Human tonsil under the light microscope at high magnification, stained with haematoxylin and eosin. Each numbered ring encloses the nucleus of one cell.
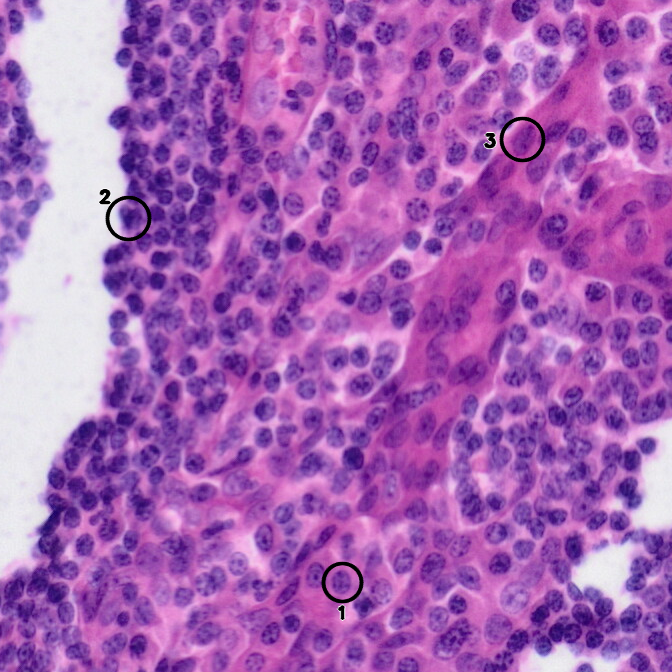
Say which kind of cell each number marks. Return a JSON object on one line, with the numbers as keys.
{"1": "plasma cell", "2": "small lymphocyte", "3": "squamous epithelial cell"}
